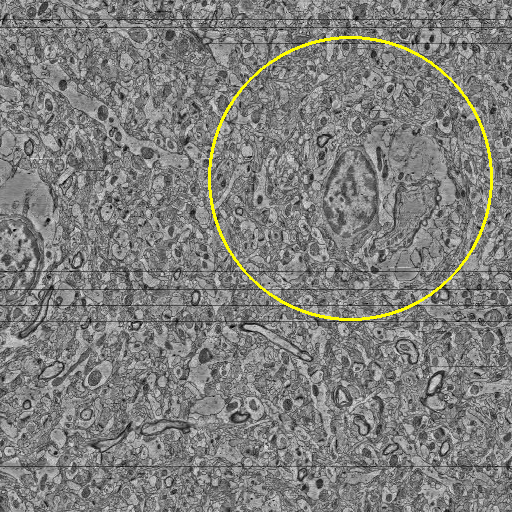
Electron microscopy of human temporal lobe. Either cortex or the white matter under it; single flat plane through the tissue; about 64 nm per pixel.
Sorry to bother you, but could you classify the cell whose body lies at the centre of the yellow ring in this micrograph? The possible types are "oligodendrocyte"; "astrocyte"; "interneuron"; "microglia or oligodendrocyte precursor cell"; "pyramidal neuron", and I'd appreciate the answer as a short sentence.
The ringed cell body is that of an oligodendrocyte.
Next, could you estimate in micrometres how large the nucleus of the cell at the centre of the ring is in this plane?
In this plane the nucleus is clearly longer than it is wide: roughly 6 by 3 micrometres.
